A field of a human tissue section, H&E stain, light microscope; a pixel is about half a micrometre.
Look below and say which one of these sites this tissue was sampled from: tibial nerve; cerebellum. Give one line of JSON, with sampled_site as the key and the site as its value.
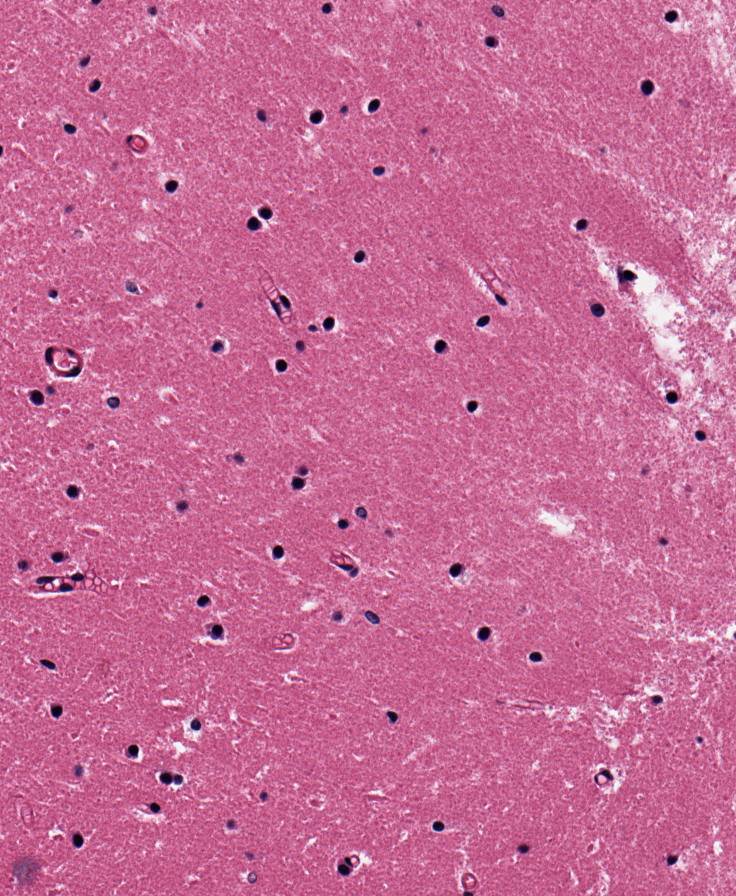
{"sampled_site": "cerebellum"}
